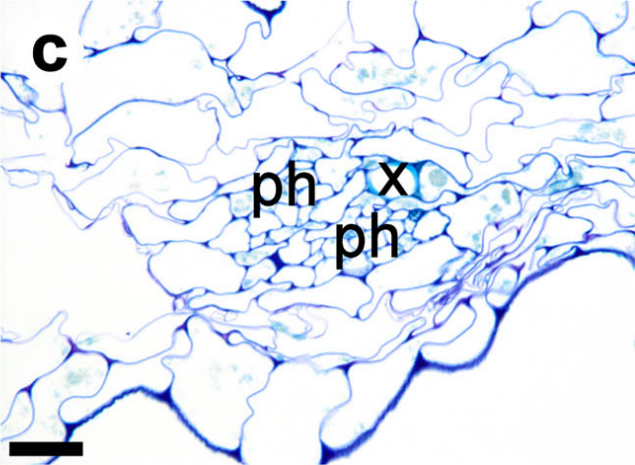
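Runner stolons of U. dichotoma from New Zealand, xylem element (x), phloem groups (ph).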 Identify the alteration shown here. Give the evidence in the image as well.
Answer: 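Cell walls are wavy and folded rather than rounded. Cells in the centre appear flattened and distorted. The answer: Tissues look irregular or squeezed.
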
